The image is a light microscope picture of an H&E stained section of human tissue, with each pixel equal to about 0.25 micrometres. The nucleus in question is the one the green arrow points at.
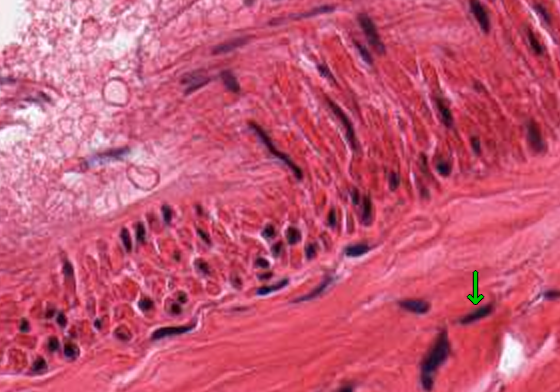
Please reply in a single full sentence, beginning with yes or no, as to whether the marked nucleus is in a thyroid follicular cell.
No, the marked nucleus belongs to a supporting cell, not to a thyroid follicular cell.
